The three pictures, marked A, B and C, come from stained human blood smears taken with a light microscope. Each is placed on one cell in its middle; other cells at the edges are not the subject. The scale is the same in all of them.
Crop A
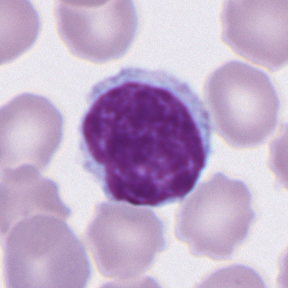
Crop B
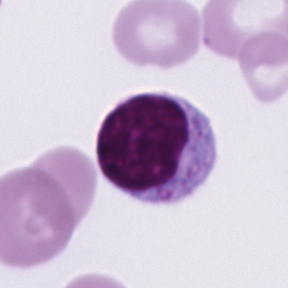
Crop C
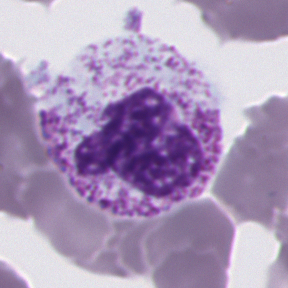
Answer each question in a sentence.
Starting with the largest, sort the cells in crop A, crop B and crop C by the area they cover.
The order is C, A, B, beginning with the largest.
